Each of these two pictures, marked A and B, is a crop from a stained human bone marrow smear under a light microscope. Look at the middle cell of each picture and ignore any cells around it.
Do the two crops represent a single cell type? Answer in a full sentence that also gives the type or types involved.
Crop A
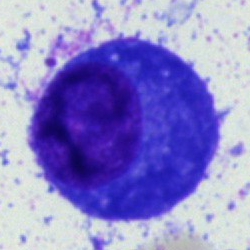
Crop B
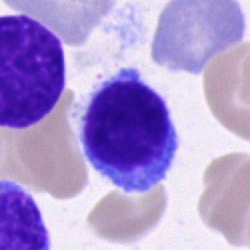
No, crop A represents a plasma cell, and crop B represents a lymphocyte.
